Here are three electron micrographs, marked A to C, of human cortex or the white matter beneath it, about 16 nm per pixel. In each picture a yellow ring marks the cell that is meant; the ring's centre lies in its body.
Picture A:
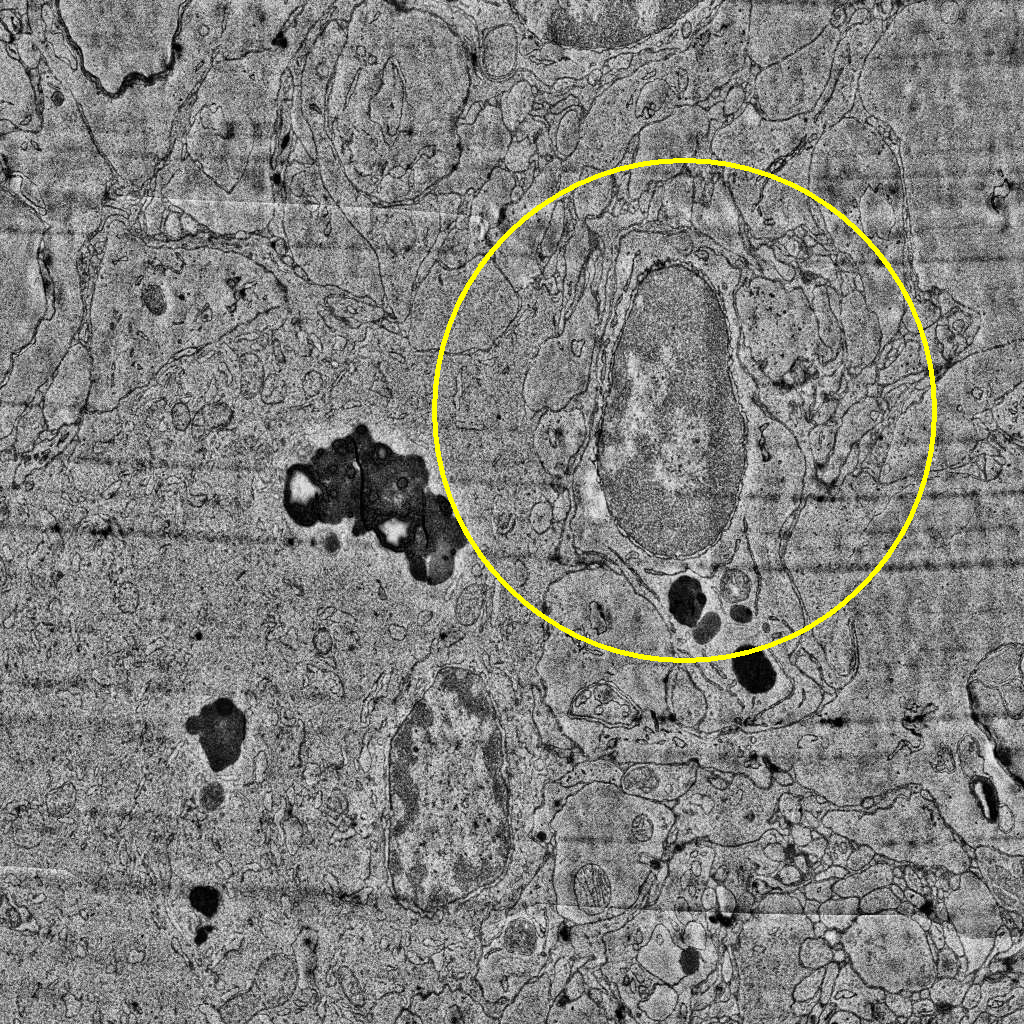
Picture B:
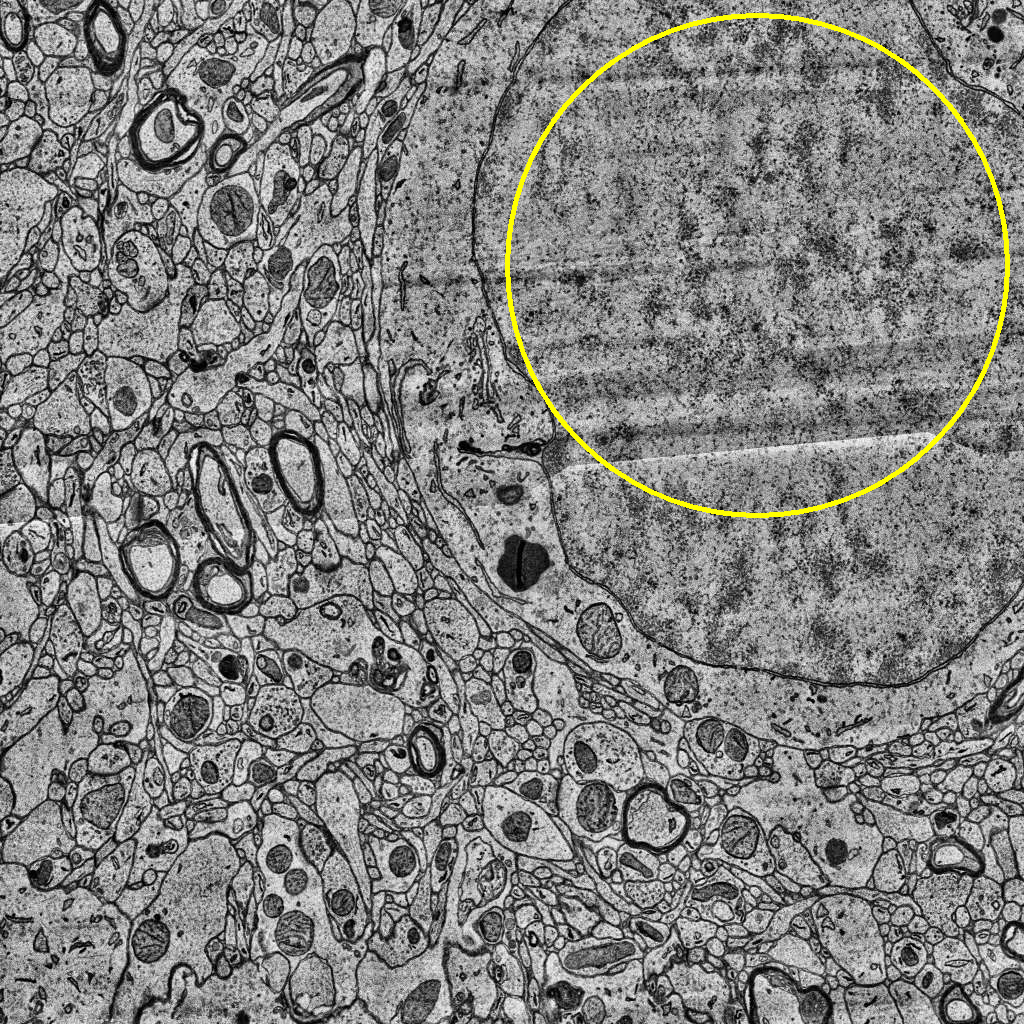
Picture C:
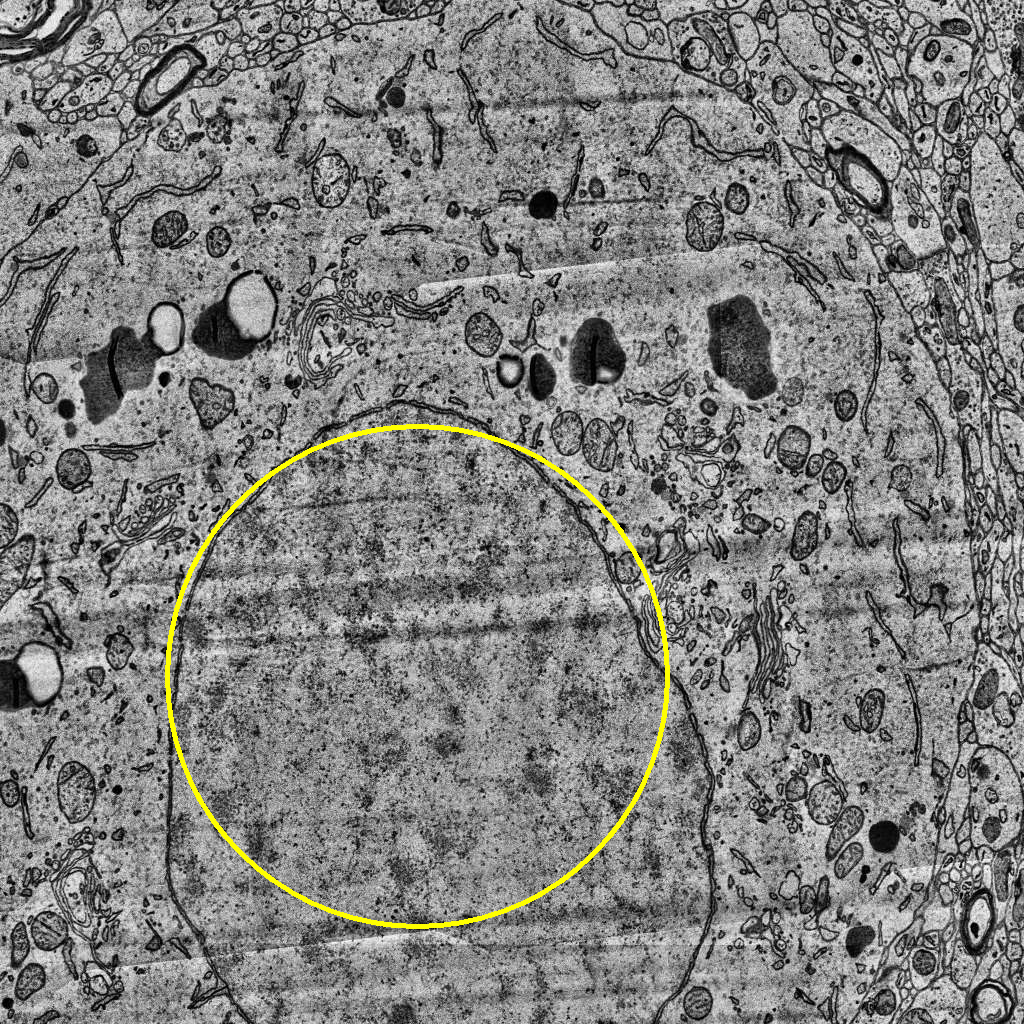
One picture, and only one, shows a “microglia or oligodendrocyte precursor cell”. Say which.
Picture A shows the “microglia or oligodendrocyte precursor cell”.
